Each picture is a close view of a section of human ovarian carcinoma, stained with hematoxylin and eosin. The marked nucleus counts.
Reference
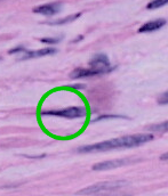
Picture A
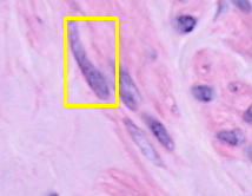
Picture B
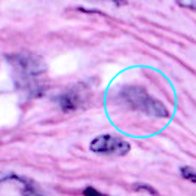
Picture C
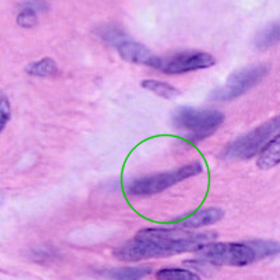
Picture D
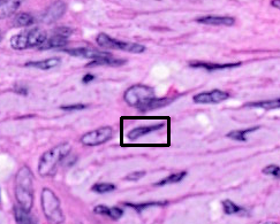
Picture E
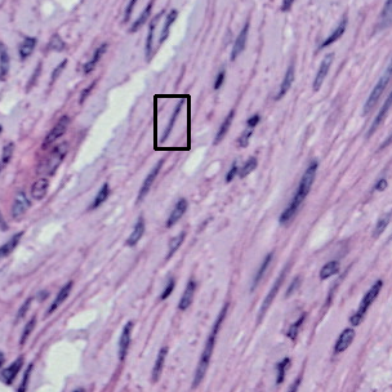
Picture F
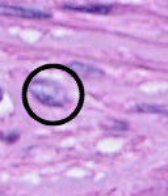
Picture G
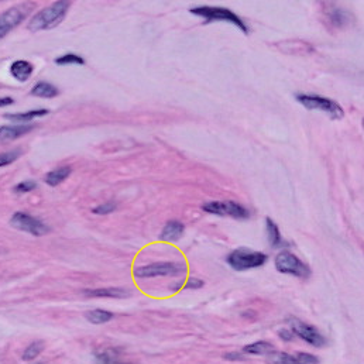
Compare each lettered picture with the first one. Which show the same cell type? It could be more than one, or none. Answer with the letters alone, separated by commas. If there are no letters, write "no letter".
A, C, G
